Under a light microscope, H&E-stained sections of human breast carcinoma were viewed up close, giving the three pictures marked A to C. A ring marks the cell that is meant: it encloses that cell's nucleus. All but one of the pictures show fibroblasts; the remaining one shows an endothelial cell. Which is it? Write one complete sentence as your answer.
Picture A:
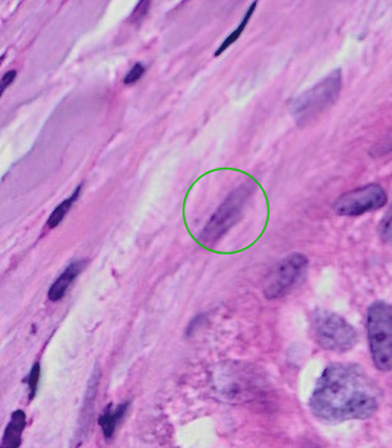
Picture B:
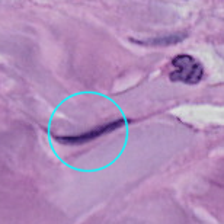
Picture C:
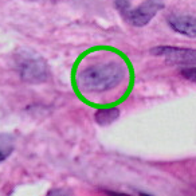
The cell in picture C is the endothelial cell.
